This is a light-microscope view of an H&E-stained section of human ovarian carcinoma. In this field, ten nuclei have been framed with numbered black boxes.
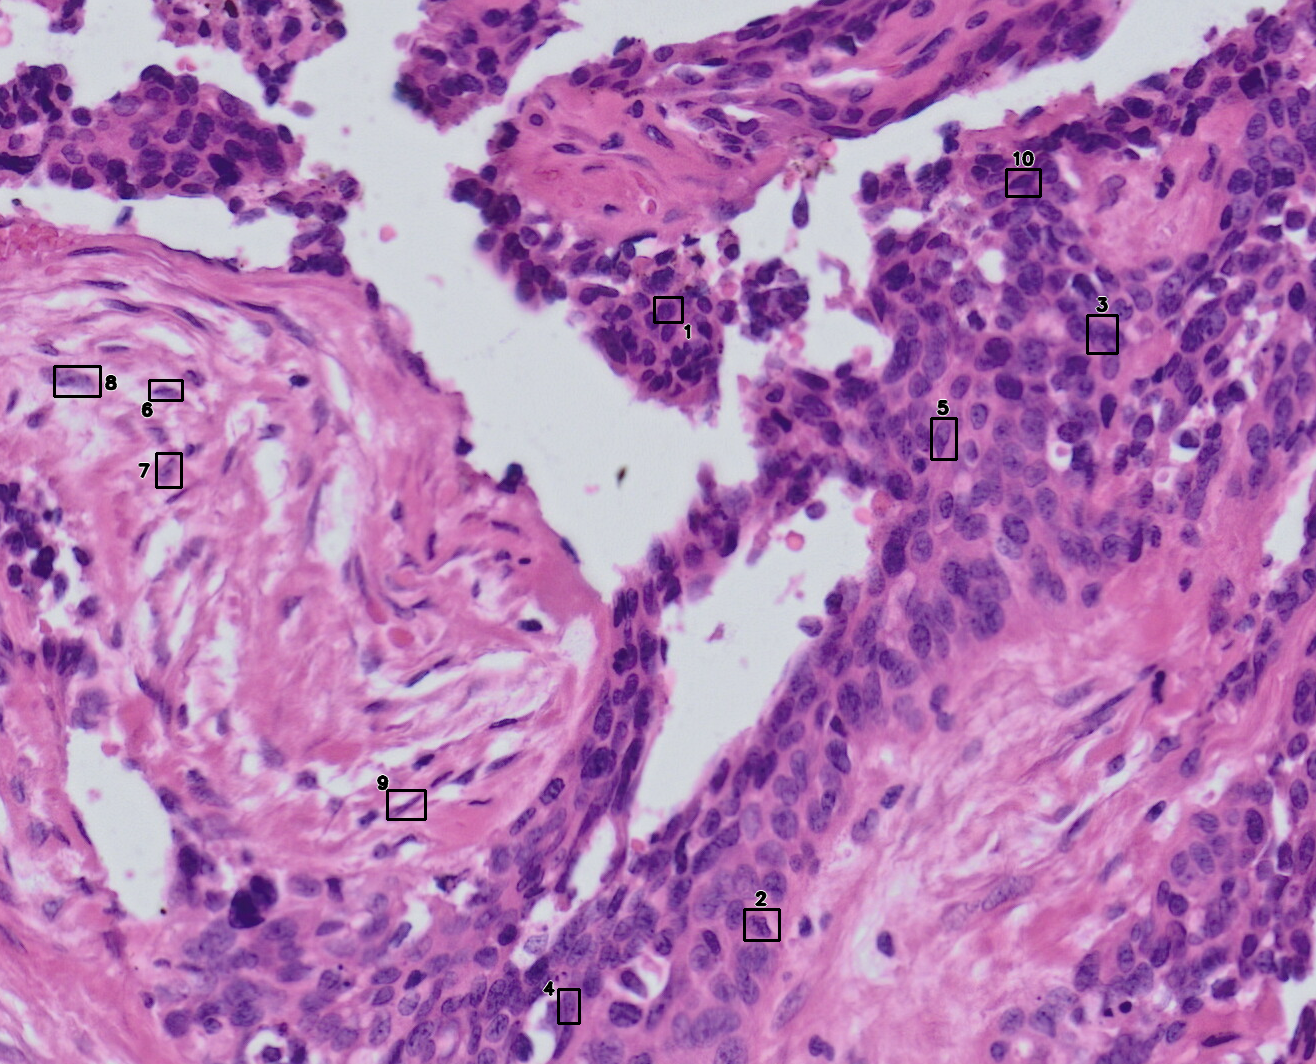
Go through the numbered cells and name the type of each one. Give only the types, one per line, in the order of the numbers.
carcinoma cell
carcinoma cell
carcinoma cell
carcinoma cell
carcinoma cell
fibroblast
fibroblast
fibroblast
fibroblast
carcinoma cell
